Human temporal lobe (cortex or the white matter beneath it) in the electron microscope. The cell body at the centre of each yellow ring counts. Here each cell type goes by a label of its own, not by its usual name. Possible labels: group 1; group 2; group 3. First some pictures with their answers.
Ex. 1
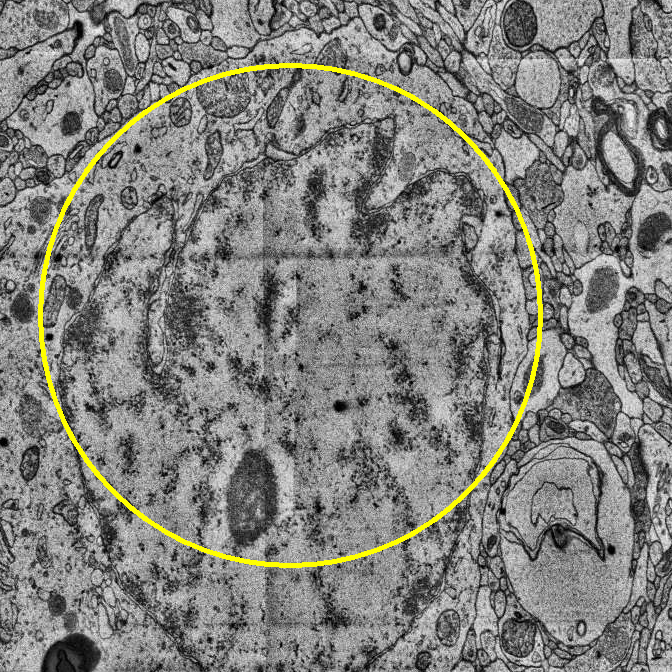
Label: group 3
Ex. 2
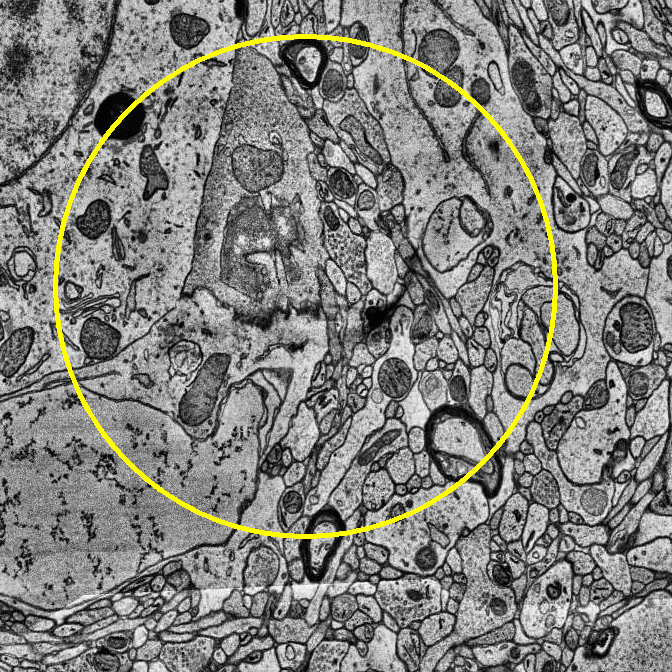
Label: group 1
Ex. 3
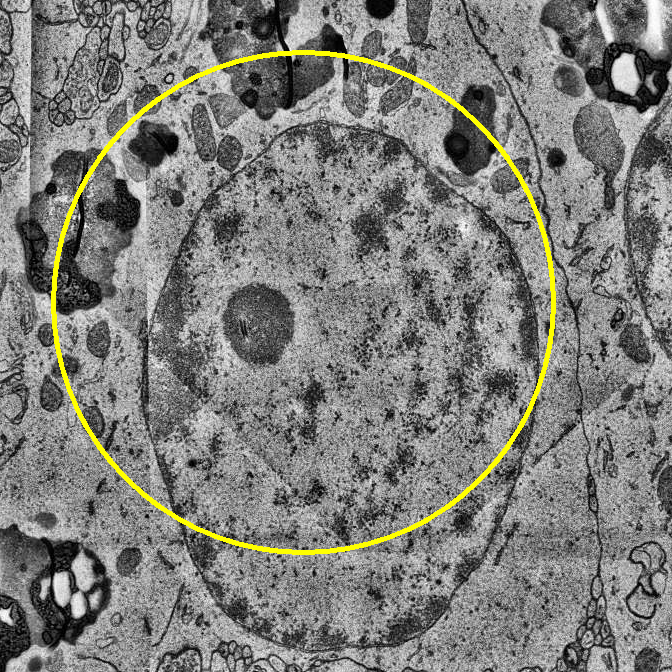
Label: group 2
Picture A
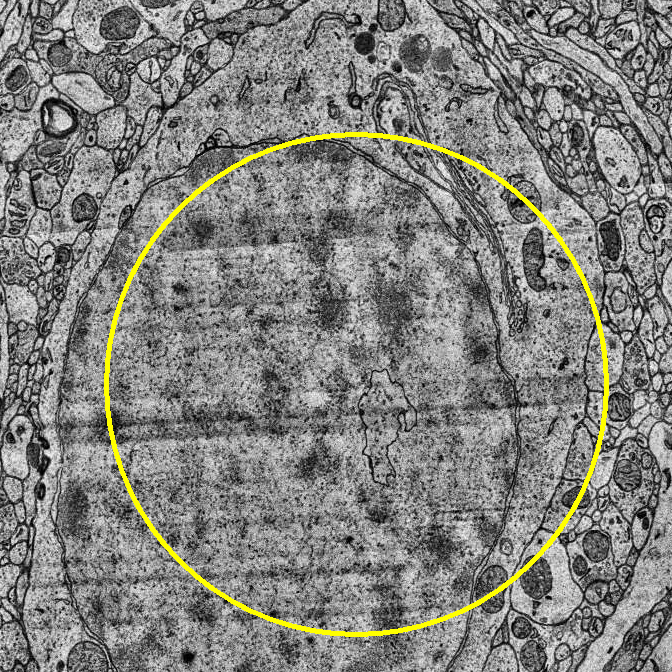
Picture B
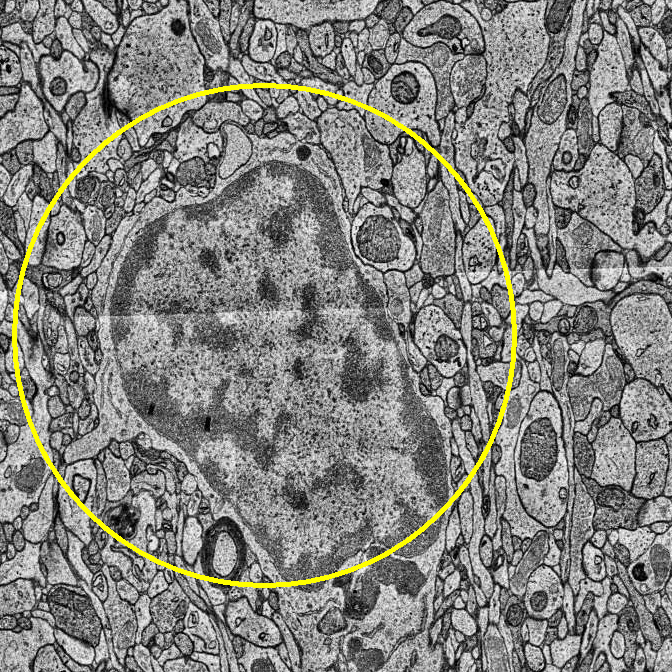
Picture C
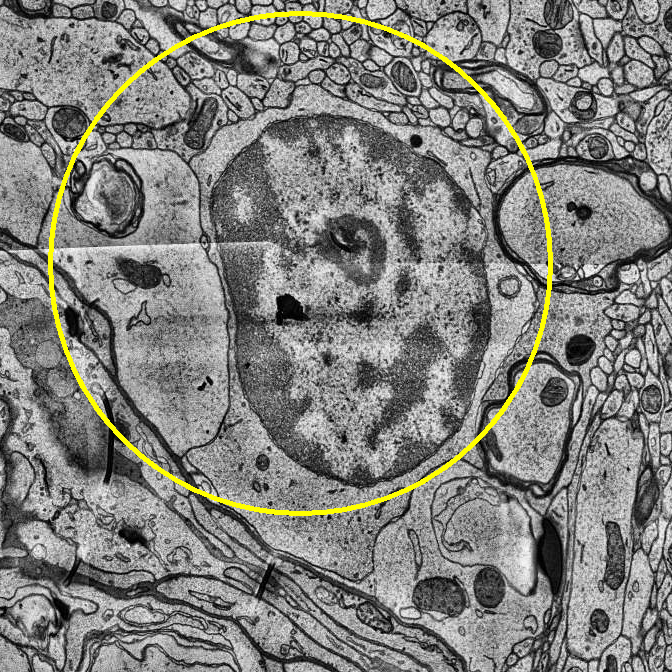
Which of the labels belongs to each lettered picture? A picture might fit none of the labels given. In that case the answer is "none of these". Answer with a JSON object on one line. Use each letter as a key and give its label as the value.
{"A": "group 3", "B": "none of these", "C": "none of these"}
